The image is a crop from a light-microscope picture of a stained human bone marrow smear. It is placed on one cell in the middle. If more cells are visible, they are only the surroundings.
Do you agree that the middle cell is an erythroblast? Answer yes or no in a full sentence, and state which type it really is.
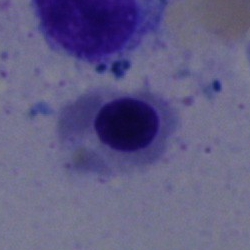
Yes, the cell that is in the middle is an erythroblast.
